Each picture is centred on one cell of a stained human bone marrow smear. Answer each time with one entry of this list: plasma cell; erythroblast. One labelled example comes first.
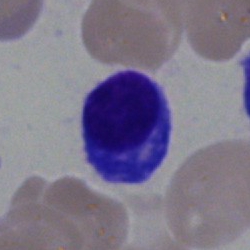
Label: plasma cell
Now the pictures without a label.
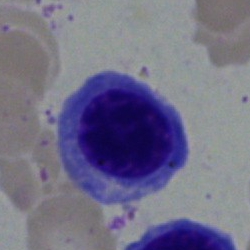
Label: erythroblast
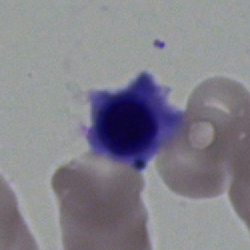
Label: erythroblast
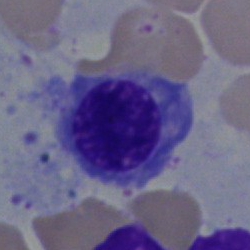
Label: erythroblast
